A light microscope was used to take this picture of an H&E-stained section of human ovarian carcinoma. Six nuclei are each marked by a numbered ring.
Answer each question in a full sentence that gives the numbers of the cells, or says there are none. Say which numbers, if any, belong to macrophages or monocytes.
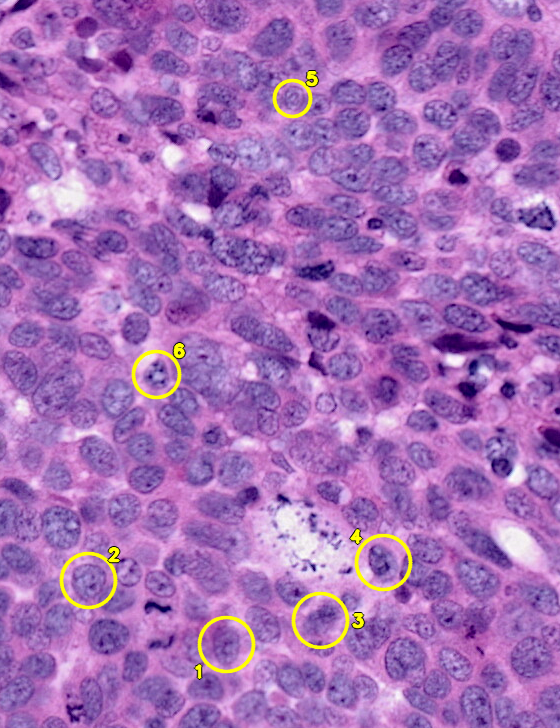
The cells that bear the numbers 4 and 6 are macrophages or monocytes.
